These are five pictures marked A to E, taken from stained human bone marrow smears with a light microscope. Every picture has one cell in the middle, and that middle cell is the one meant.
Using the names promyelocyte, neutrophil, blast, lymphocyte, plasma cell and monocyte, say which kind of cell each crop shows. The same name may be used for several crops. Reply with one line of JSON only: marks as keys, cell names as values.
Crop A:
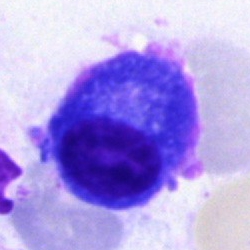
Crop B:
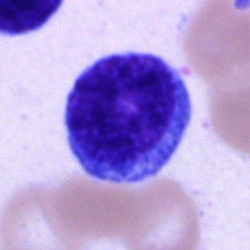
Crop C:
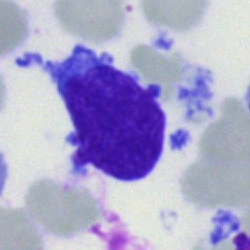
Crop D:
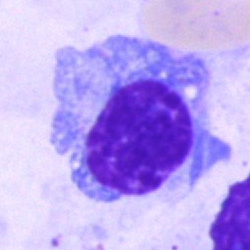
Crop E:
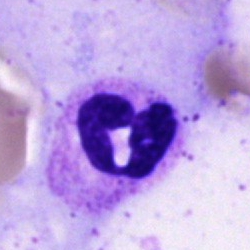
{"A": "plasma cell", "B": "blast", "C": "blast", "D": "plasma cell", "E": "neutrophil"}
